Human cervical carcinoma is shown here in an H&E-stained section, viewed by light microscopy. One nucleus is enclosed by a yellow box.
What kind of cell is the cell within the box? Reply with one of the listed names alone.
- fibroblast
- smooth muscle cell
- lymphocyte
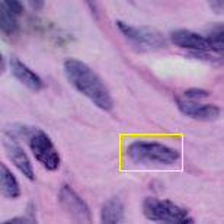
fibroblast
